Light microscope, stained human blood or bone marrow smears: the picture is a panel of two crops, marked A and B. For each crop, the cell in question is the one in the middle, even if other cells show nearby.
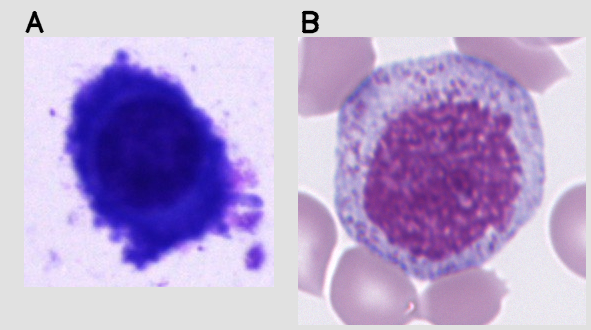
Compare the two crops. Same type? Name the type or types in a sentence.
No, crop A shows a plasma cell, and it is crop B that shows a promyelocyte.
